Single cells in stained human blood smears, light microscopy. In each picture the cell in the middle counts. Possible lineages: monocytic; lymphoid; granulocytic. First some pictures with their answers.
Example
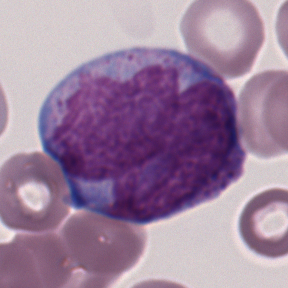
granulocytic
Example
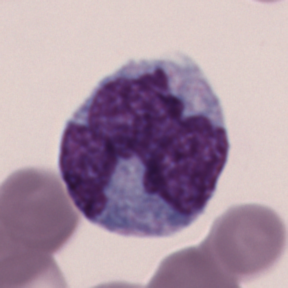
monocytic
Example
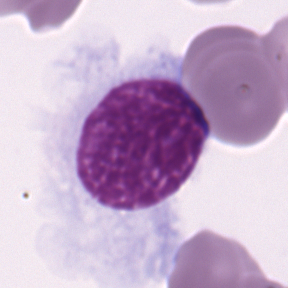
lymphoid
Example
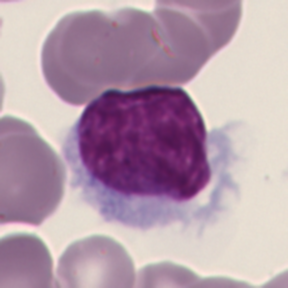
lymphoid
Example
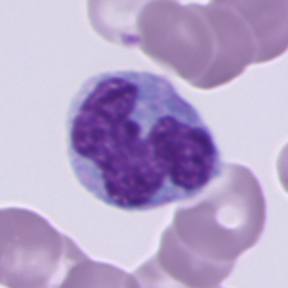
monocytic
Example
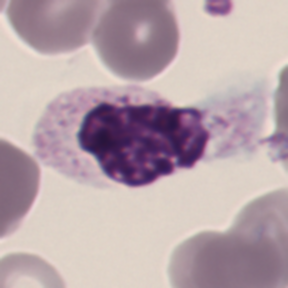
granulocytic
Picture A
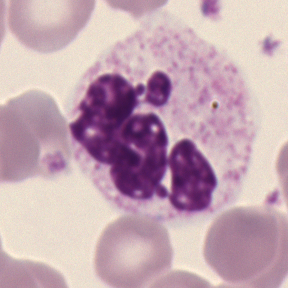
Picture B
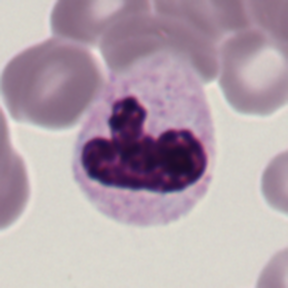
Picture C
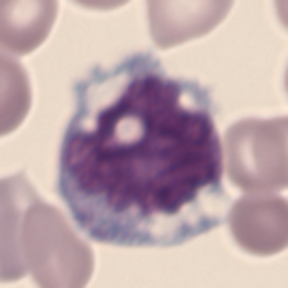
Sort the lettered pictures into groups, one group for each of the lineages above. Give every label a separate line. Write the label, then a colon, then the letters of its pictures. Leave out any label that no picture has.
monocytic: C
granulocytic: A, B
